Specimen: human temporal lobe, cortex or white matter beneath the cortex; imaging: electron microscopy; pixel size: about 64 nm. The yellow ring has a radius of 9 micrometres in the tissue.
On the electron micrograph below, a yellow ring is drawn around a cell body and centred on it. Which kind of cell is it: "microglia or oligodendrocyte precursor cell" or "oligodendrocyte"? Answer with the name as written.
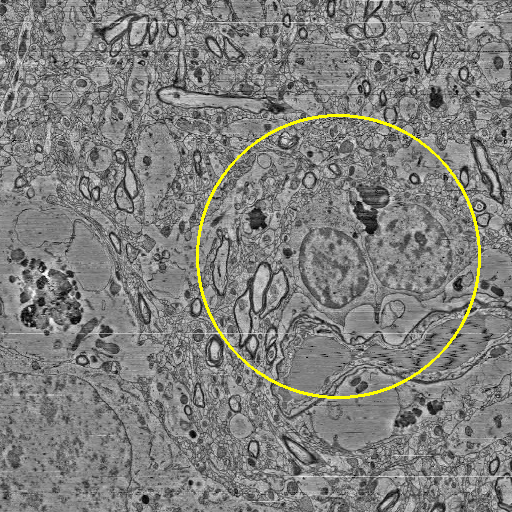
oligodendrocyte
